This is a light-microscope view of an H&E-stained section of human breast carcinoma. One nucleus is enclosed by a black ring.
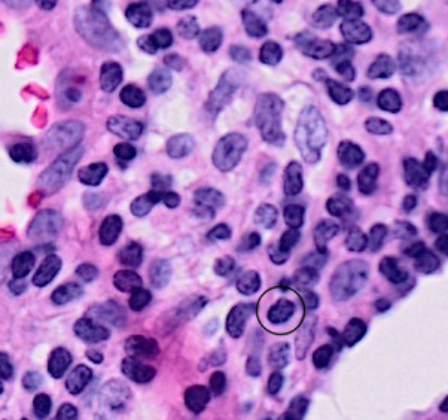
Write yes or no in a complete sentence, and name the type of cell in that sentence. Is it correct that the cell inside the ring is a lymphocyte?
Yes, classifying the cell inside the ring as a lymphocyte is accurate.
